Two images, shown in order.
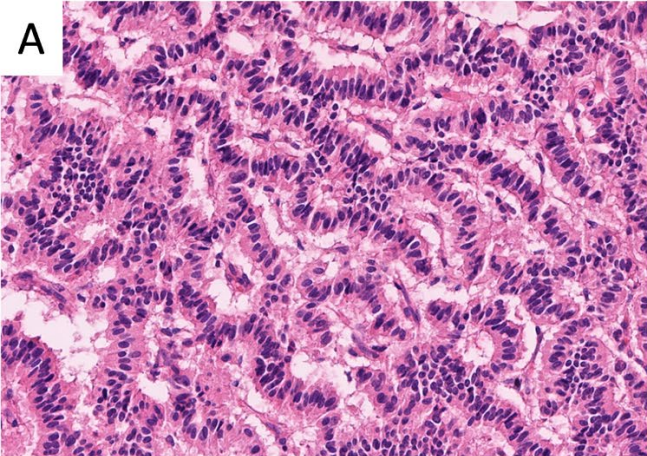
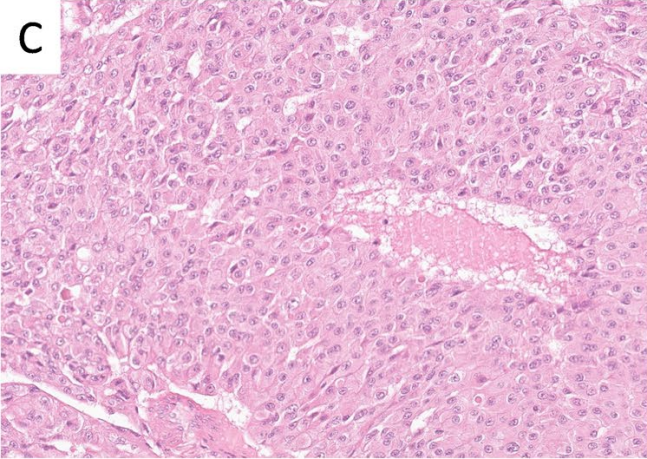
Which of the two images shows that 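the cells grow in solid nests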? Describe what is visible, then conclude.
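The second image. Second image: polygonal pink cells form broad solid sheets. First image: columnar cells form thin branching ribbons separated by clear spaces.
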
